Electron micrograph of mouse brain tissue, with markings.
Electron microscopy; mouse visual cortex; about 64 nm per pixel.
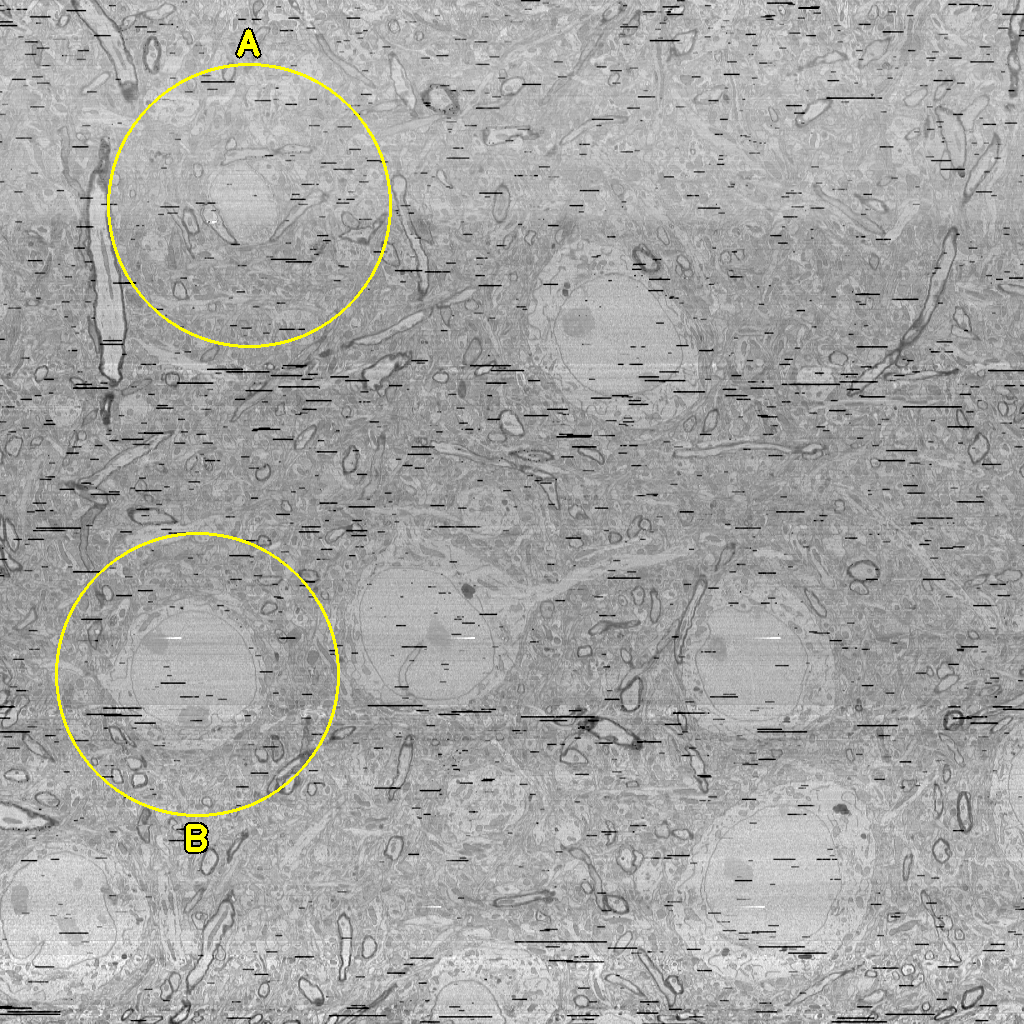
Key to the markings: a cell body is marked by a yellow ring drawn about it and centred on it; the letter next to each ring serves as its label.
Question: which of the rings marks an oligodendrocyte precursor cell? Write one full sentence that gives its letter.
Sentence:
In this picture, the ring marking that kind of cell has the letter A.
